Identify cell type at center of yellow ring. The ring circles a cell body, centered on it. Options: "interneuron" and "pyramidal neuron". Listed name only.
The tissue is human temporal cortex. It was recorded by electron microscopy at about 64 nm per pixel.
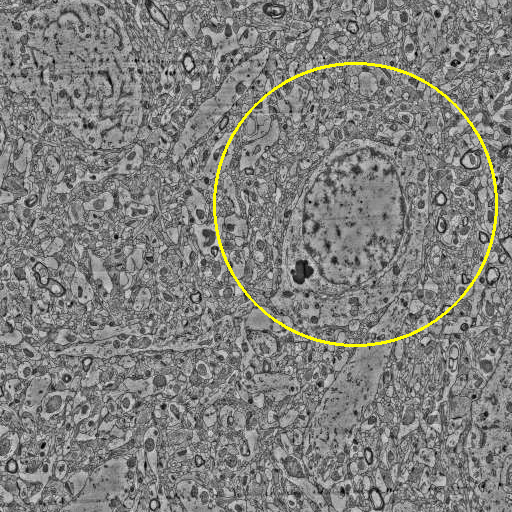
interneuron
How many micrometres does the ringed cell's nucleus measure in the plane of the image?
The nucleus works out at approximately 9 by 7 micrometres in this plane.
